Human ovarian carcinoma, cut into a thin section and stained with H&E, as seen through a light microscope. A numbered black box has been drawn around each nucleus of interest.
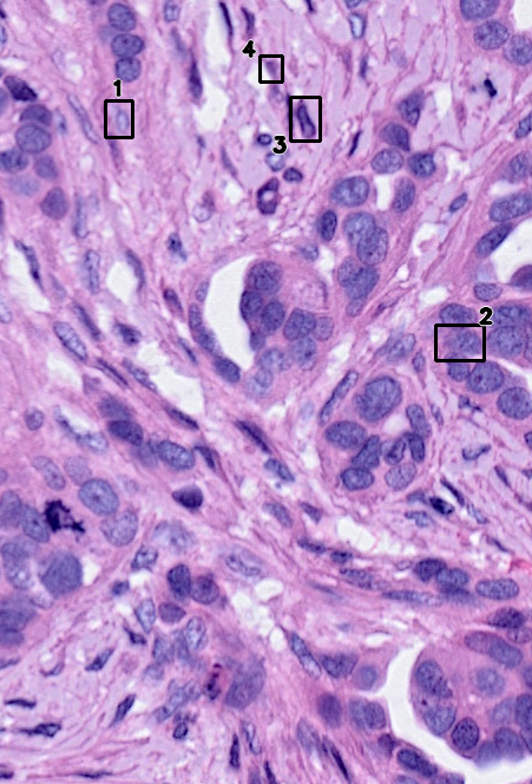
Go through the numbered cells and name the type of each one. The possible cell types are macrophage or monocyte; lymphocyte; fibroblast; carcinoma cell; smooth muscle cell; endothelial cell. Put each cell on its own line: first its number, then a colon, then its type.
1: fibroblast
2: carcinoma cell
3: fibroblast
4: fibroblast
